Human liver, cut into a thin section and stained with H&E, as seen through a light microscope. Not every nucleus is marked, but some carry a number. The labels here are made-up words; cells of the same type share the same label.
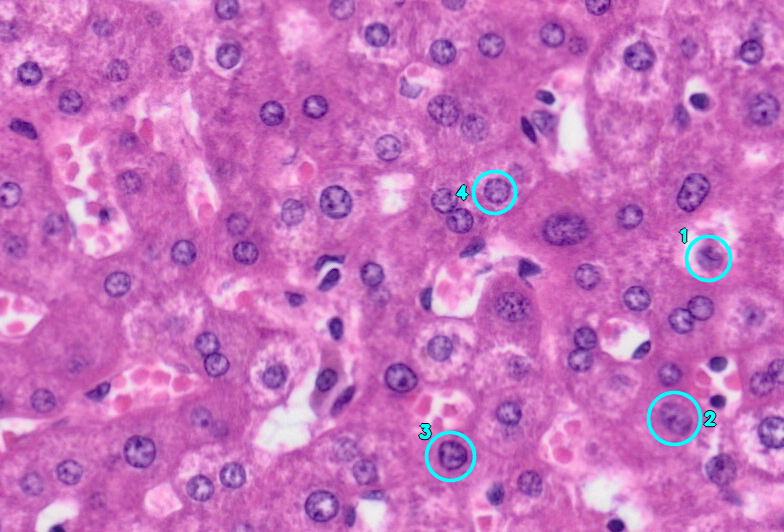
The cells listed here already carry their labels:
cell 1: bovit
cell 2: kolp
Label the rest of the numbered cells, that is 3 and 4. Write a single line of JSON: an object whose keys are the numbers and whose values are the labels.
{"3": "kolp", "4": "kolp"}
